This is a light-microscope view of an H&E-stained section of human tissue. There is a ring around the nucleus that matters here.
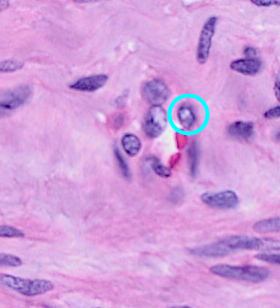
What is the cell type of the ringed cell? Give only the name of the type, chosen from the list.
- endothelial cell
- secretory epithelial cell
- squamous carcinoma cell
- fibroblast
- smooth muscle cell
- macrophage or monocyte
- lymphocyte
endothelial cell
